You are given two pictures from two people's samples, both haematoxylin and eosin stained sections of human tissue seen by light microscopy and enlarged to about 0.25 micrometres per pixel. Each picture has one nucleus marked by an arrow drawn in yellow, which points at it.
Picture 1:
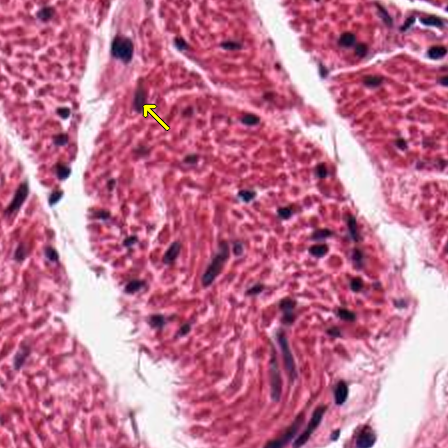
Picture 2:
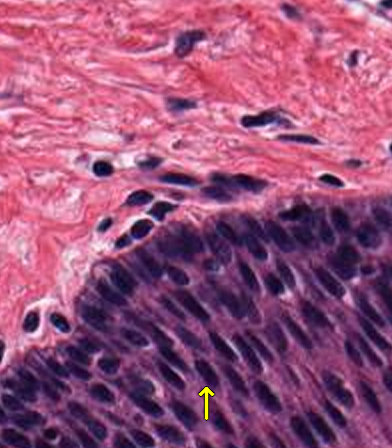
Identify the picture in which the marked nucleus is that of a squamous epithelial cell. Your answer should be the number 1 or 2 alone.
2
